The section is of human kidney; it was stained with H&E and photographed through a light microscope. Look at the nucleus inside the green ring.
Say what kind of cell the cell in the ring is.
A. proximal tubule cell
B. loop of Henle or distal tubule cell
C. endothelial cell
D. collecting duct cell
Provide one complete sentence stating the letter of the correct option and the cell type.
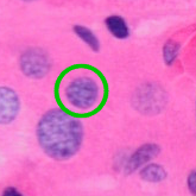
The correct pick is option B; the cell in the ring is a loop of Henle or distal tubule cell.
